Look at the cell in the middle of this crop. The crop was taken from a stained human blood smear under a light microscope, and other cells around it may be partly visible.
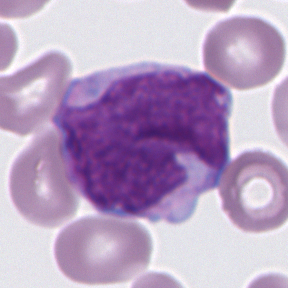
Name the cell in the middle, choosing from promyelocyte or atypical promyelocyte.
atypical promyelocyte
